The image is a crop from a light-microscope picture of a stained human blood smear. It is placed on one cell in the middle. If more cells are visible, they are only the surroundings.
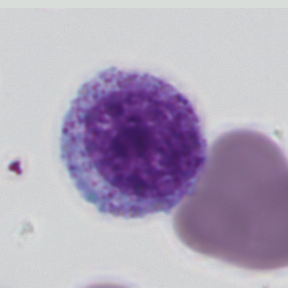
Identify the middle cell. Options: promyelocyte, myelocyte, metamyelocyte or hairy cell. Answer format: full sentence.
Seen at the centre of the crop is a myelocyte.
